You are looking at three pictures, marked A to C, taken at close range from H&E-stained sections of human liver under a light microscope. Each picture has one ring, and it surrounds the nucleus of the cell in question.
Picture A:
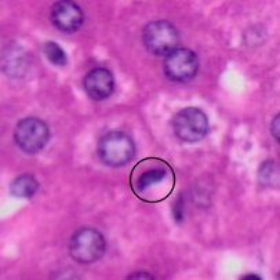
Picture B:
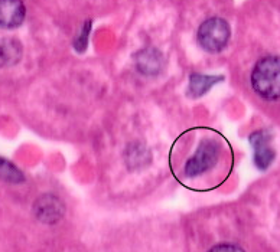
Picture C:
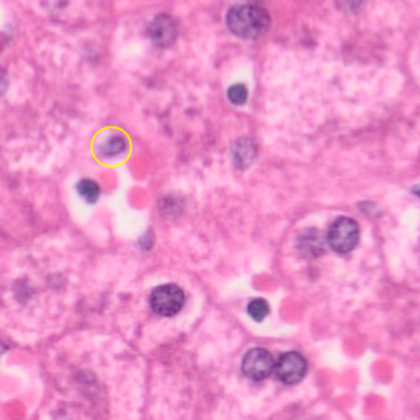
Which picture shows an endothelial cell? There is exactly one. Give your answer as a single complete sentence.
The cell in picture A is the endothelial cell.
